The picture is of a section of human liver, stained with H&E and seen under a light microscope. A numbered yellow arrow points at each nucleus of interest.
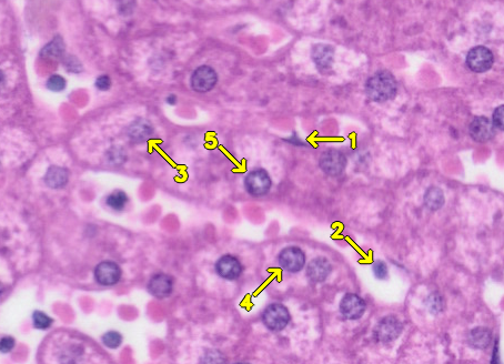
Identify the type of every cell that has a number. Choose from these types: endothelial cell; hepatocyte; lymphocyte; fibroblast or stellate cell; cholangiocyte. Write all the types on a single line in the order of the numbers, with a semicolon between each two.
endothelial cell; lymphocyte; hepatocyte; hepatocyte; hepatocyte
